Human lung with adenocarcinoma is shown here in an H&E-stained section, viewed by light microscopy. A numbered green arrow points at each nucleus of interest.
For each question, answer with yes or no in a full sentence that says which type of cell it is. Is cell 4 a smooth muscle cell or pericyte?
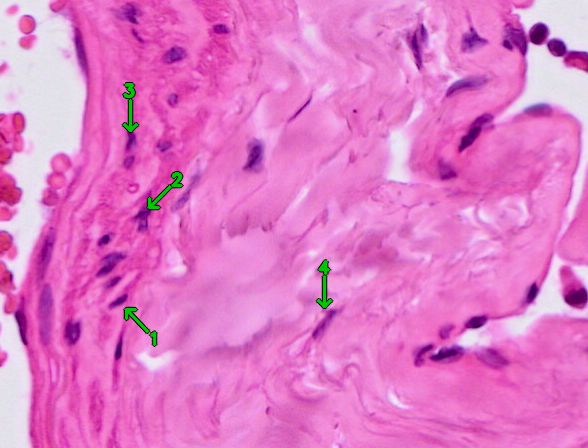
No, cell 4 is a fibroblast; it is not a smooth muscle cell or pericyte.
